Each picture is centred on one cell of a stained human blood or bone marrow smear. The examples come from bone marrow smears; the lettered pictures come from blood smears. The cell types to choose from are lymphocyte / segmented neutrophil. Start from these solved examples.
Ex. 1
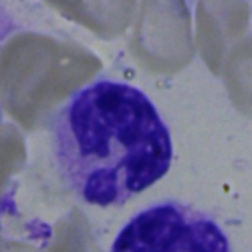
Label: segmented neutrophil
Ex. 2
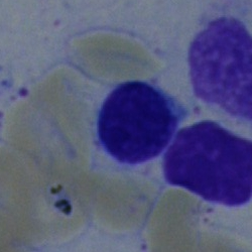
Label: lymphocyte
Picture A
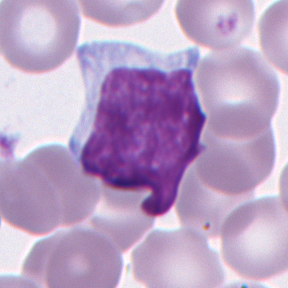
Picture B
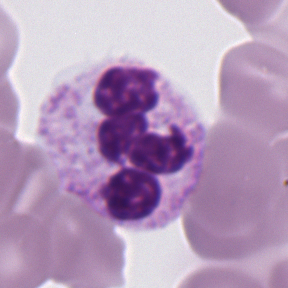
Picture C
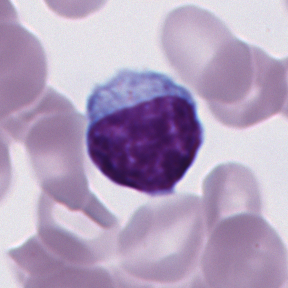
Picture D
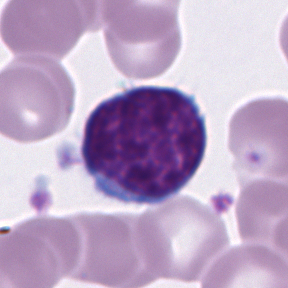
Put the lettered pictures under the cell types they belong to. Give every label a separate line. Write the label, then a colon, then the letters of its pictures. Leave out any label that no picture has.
lymphocyte: A, C, D
segmented neutrophil: B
